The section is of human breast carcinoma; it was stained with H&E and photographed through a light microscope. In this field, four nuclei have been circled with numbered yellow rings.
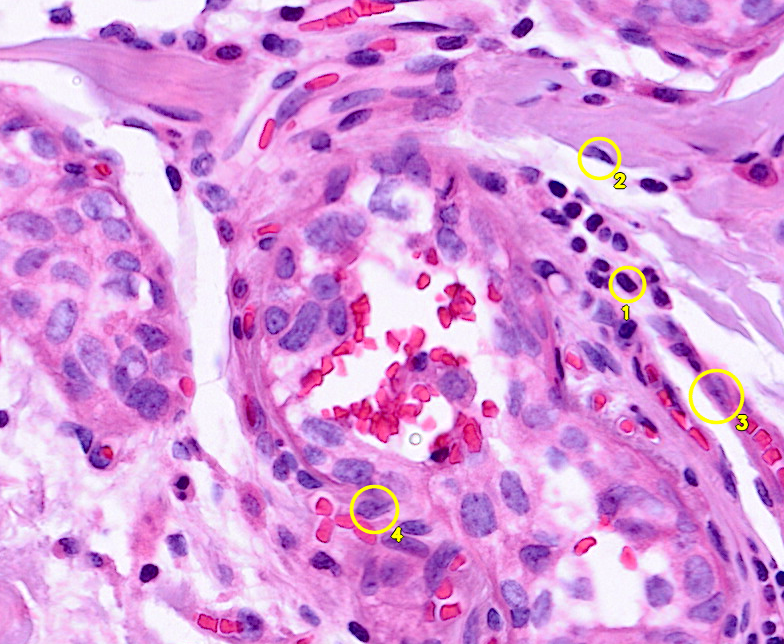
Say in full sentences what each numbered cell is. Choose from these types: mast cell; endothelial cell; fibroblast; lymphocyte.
Cell 1 is a lymphocyte. Cell 2 is a fibroblast. Cells 3 and 4 are endothelial cells.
